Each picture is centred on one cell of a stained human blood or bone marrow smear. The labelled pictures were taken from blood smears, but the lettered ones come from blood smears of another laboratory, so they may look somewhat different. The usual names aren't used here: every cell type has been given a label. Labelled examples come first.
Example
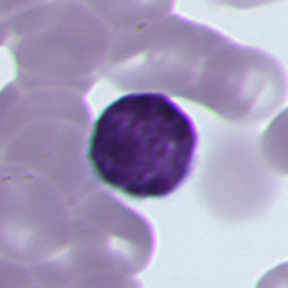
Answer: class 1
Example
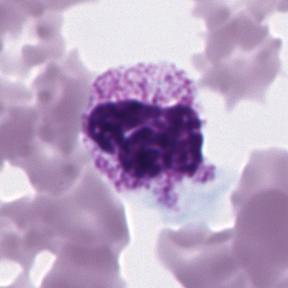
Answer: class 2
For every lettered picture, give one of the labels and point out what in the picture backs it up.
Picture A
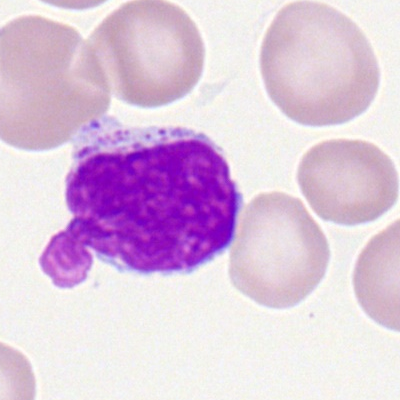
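Label: class 1. A scant rim of pale blue-grey cytoplasm lies mainly along the top of the cell.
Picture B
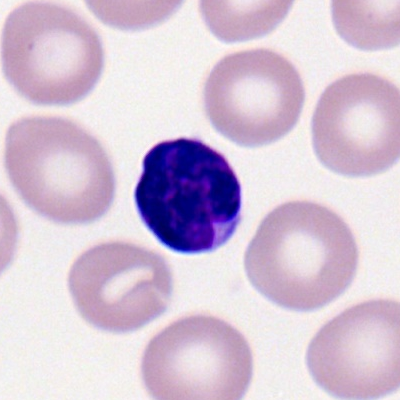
Label: class 1. The nucleus fills almost the whole cell.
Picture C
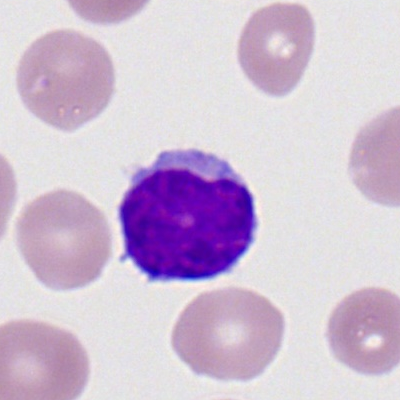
Label: class 1. The nucleus fills almost the whole cell.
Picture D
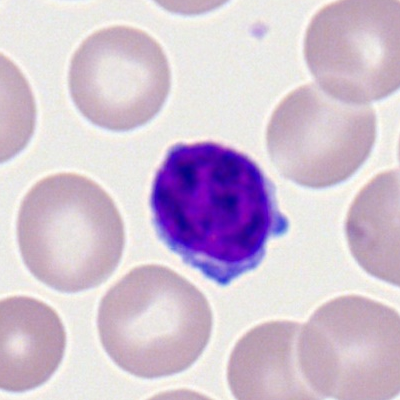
Label: class 1. The cytoplasm is a scant pale blue rim, widest along the lower edge.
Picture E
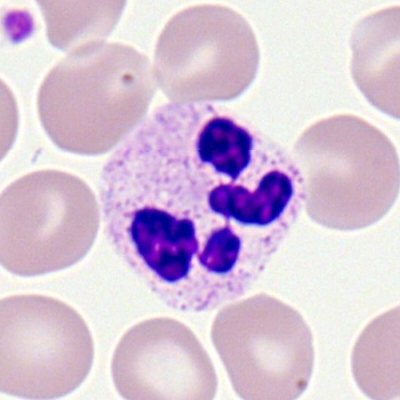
Label: class 2. The cytoplasm is abundant and pale pinkish-lilac.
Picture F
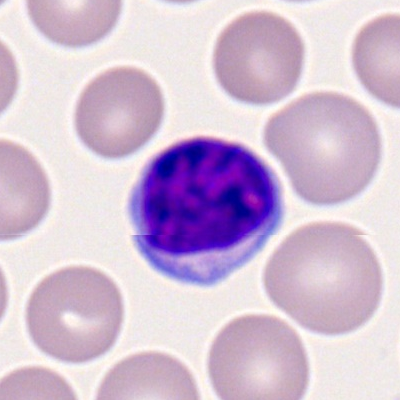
Label: class 1. The cytoplasm is a narrow rim that is widest along the lower edge of the cell.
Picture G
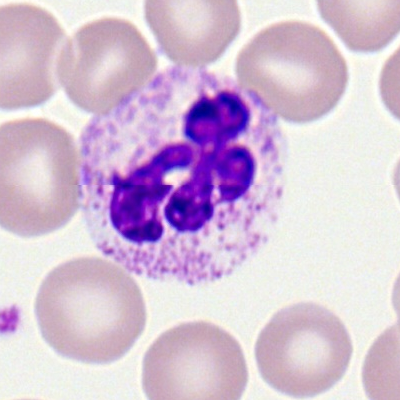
Label: class 2. Abundant pale pinkish-lilac cytoplasm surrounds the nucleus.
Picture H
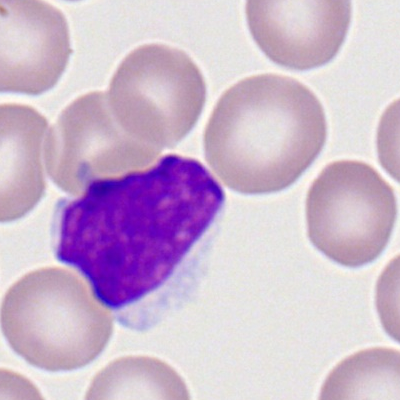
Label: class 1. The nucleus fills most of the cell.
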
